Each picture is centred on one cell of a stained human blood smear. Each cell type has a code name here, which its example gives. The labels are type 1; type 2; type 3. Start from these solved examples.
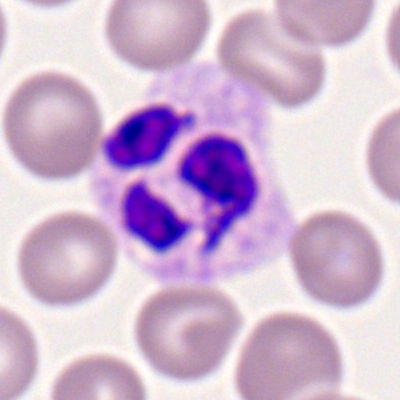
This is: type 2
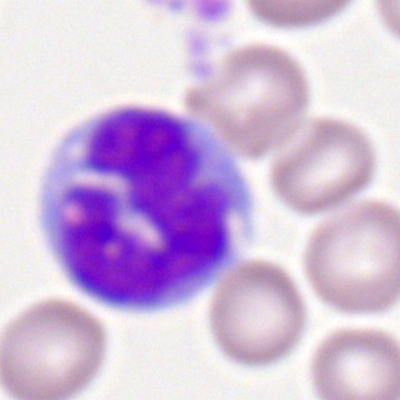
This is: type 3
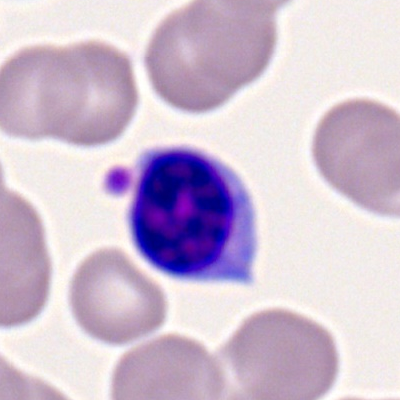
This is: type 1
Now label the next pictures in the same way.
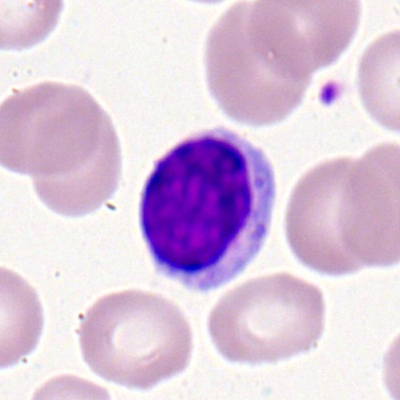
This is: type 1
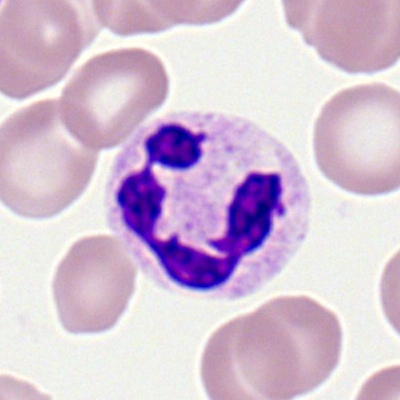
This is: type 2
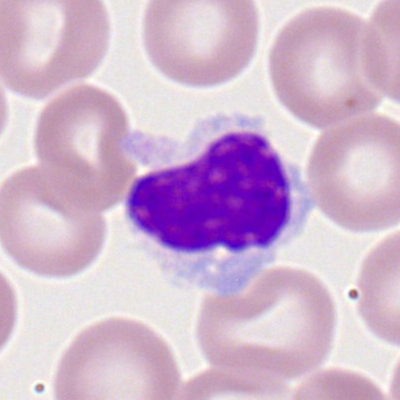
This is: type 1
